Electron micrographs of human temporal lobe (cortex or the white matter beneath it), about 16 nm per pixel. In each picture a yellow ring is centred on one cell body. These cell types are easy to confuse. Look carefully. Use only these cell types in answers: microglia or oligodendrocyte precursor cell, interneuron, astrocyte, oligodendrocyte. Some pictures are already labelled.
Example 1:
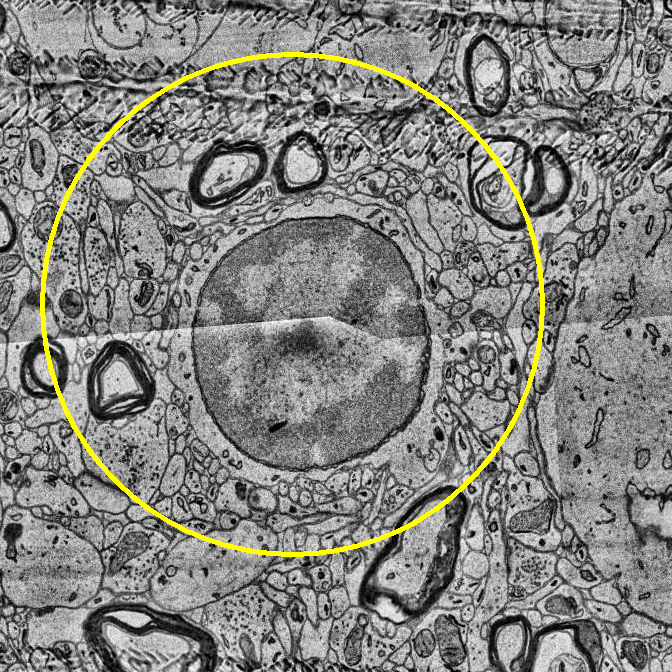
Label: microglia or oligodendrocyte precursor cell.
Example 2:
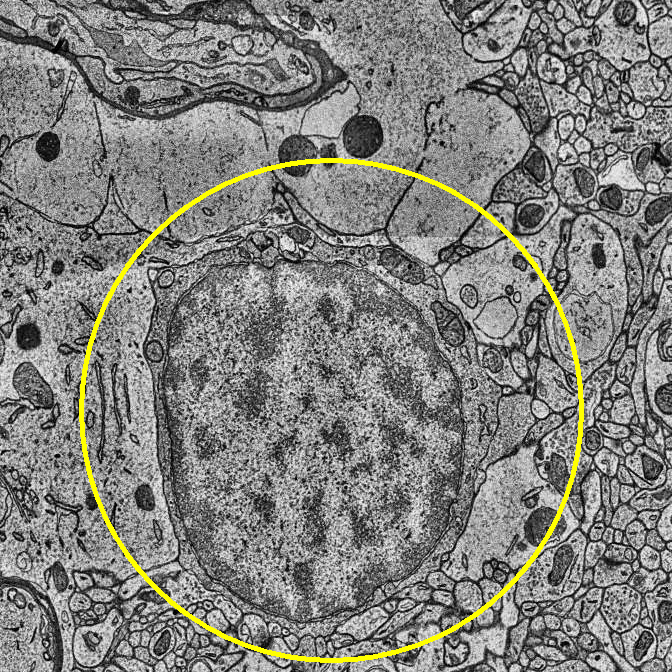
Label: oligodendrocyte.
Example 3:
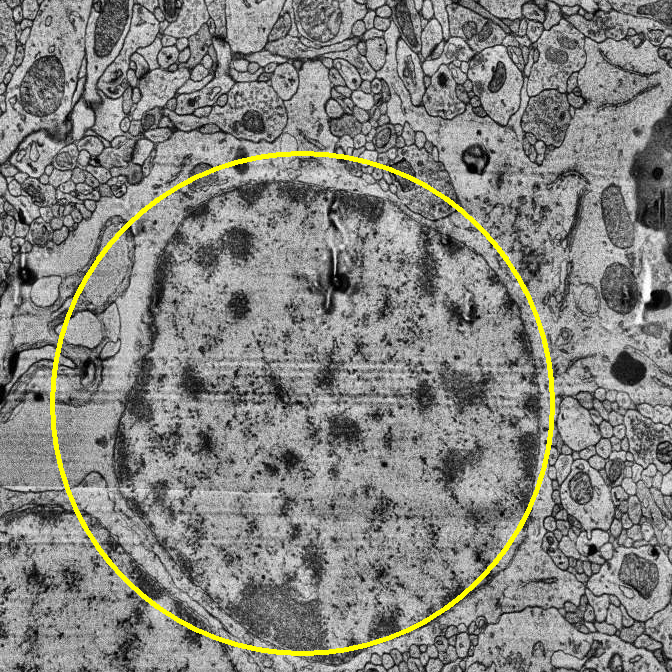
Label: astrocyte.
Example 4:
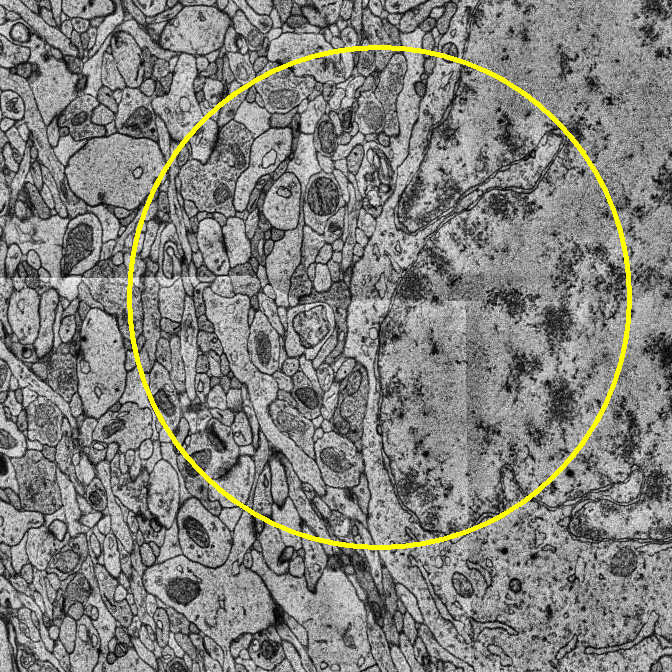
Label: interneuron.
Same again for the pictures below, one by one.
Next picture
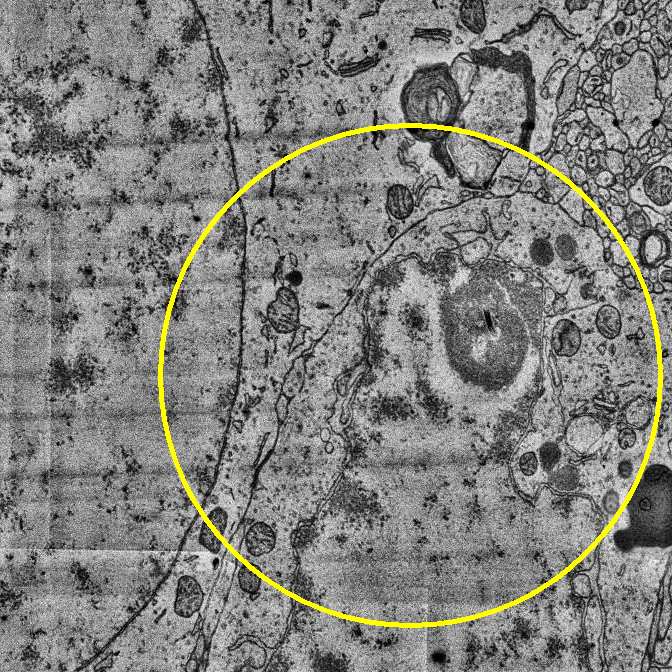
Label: interneuron.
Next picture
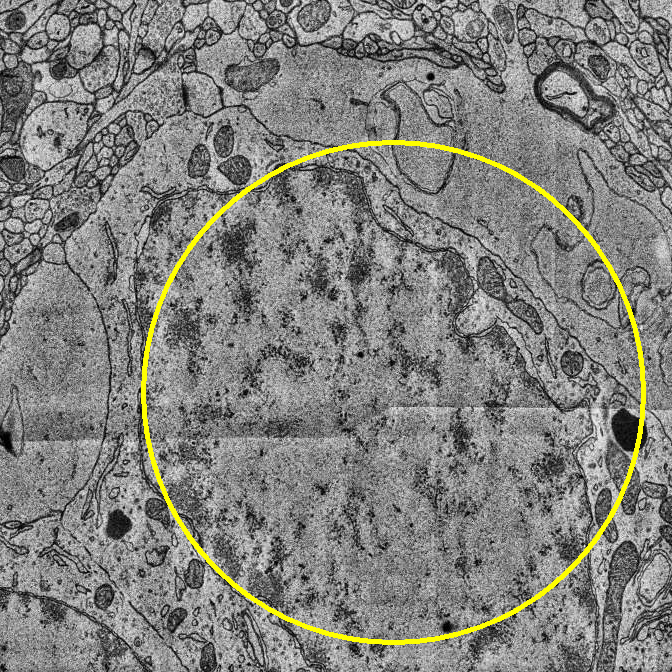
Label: interneuron.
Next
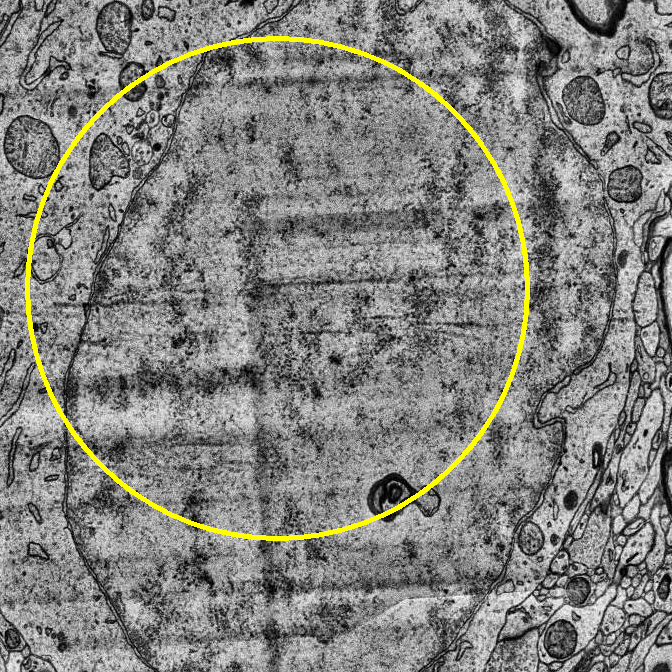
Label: interneuron.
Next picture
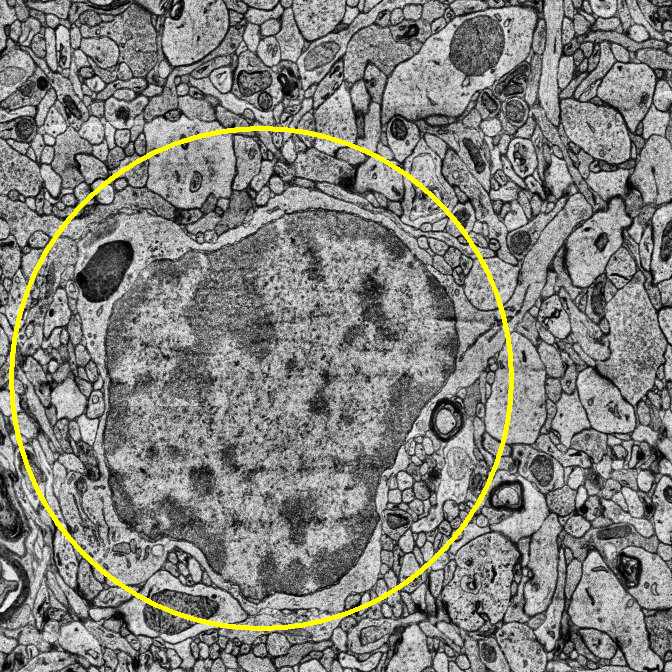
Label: microglia or oligodendrocyte precursor cell.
